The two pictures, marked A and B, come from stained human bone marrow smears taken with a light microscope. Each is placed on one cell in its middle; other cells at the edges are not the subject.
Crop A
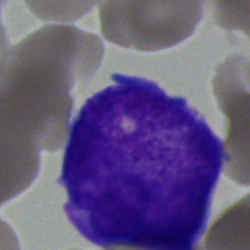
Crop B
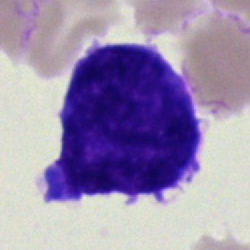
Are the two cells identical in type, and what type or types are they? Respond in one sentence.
Yes, both of the crops in this pair show blasts, one cell in each crop.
